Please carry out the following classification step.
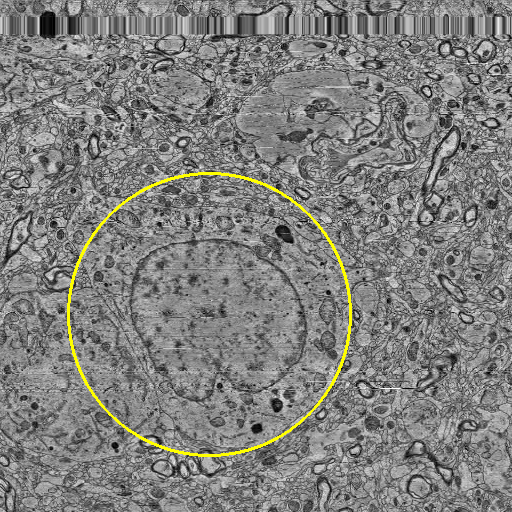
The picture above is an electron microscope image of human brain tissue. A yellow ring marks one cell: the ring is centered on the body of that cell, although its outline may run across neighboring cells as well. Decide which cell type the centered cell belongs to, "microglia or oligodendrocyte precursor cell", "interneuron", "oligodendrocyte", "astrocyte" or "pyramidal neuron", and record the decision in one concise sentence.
The cell centered in the yellow ring is a pyramidal neuron.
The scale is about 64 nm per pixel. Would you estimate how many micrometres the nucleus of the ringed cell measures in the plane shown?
The nucleus measures about 11 micrometers across in this plane.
